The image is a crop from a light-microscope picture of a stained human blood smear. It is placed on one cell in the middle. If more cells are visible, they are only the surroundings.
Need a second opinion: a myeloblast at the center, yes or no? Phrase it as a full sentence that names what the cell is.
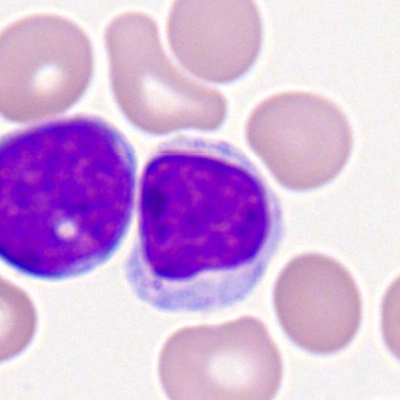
No, the label for the central cell is a lymphocyte, not a myeloblast.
